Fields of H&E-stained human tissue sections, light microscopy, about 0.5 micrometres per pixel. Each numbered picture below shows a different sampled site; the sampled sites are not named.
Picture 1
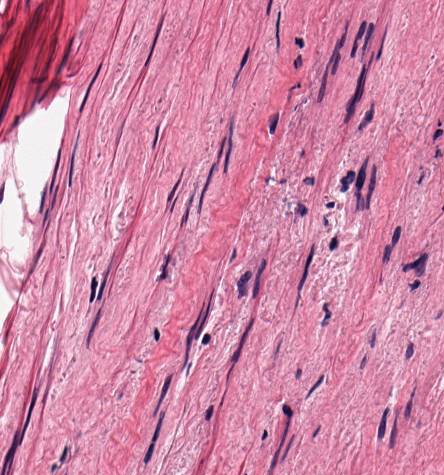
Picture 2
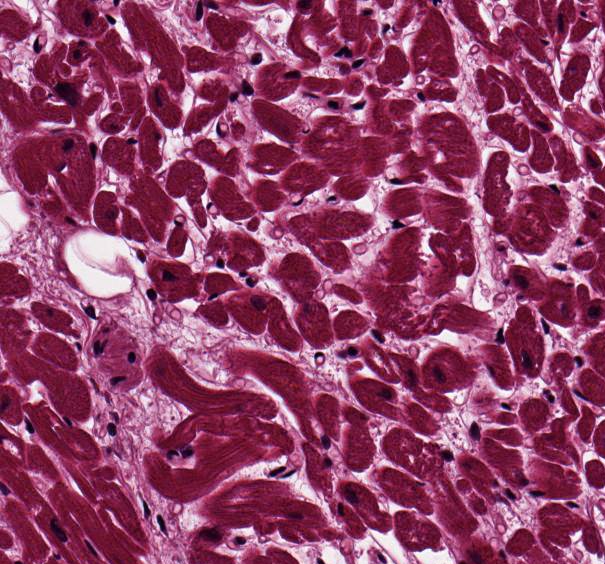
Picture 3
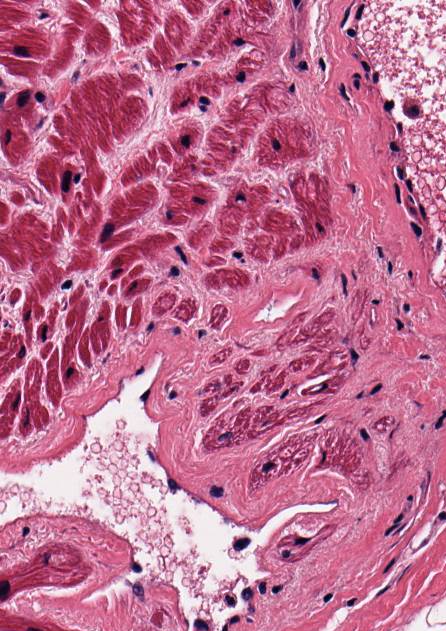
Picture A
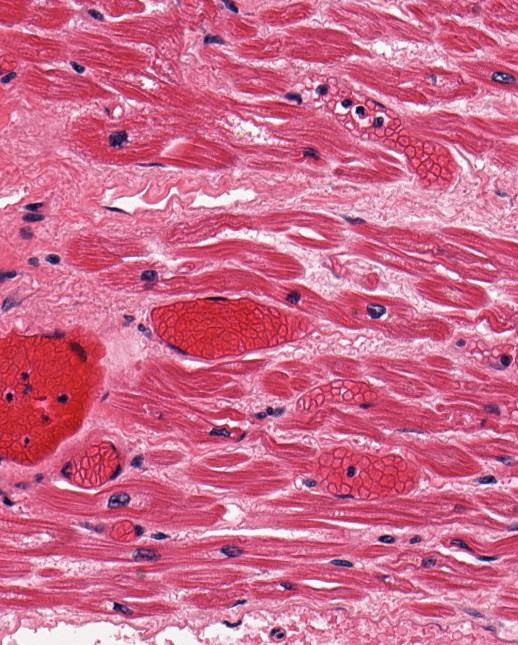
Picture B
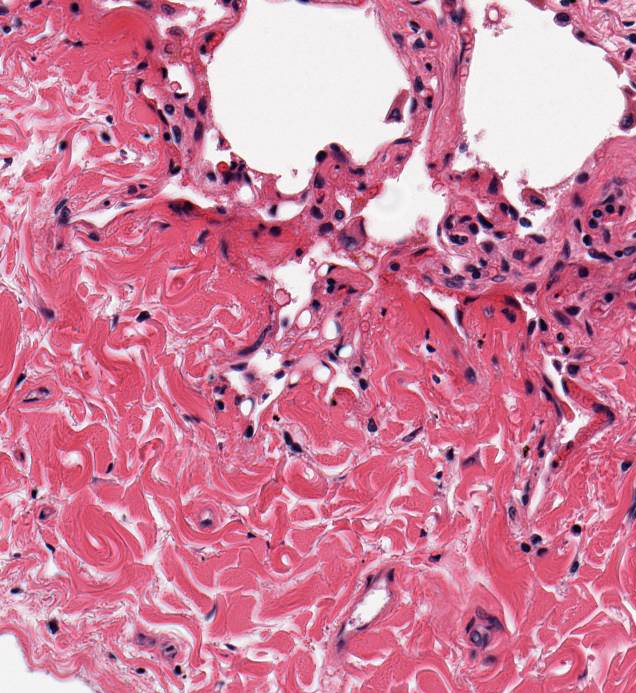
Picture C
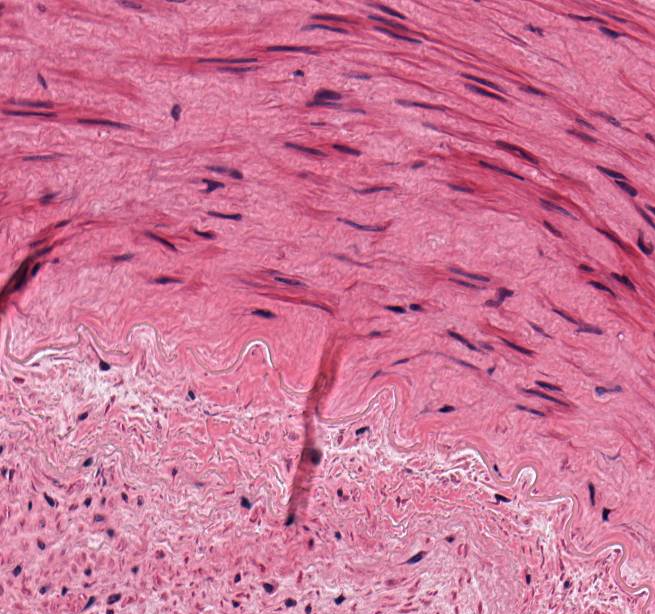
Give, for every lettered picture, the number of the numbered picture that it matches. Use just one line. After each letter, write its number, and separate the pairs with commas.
A 3, B 3, C 1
